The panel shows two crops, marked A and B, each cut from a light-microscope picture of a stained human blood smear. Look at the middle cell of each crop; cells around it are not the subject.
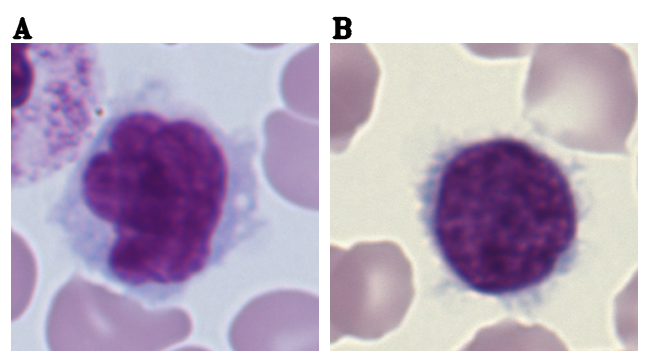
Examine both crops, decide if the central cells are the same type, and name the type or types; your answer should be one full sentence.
Yes, the cells that both crops show at the centre are hairy cells.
